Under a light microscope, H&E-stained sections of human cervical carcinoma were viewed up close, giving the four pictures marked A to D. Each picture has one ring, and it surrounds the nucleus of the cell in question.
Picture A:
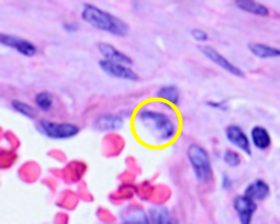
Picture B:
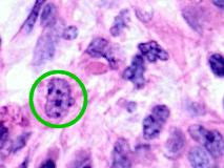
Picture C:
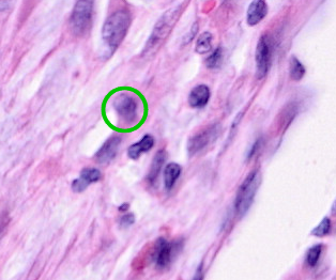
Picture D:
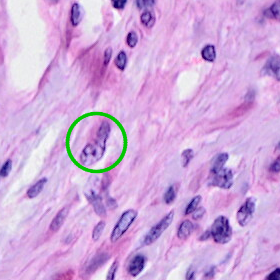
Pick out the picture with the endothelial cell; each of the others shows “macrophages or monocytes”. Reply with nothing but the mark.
A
